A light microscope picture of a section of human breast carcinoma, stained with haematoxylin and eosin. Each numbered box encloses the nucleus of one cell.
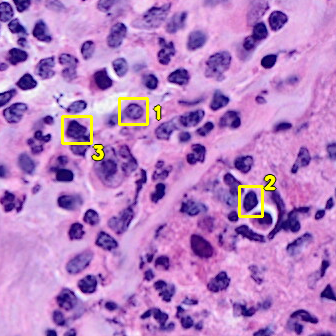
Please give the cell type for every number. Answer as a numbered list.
1. macrophage, monocyte or dendritic cell
2. lymphocyte
3. lymphocyte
